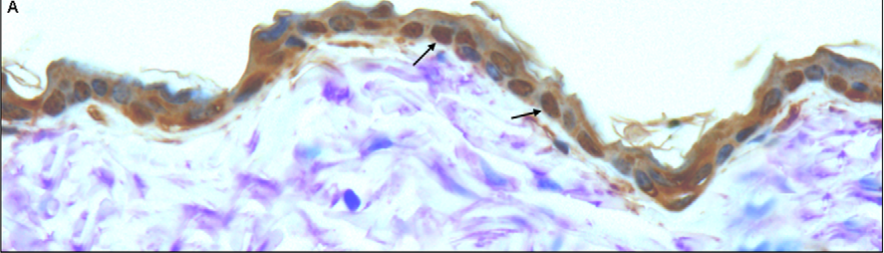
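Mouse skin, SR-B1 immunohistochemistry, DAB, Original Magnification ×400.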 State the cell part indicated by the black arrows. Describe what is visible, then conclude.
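Nuclei of keratinocytes. The arrows point at oval nuclei lying within the thin surface epithelial layer. The epithelium is only a few cell layers thick, above a pale fibrous dermis.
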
